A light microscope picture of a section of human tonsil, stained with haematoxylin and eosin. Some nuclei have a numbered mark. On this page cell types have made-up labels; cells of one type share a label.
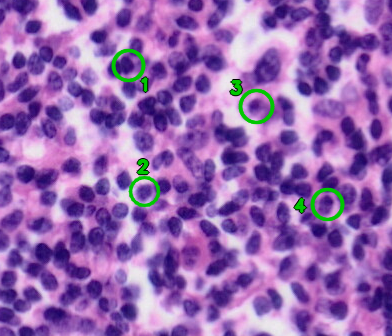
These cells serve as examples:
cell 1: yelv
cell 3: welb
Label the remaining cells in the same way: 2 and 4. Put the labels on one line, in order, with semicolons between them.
yelv; yelv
